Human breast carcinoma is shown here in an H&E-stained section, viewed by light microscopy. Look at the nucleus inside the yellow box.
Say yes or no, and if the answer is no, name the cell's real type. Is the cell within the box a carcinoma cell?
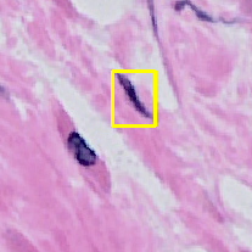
No, it is a fibroblast.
